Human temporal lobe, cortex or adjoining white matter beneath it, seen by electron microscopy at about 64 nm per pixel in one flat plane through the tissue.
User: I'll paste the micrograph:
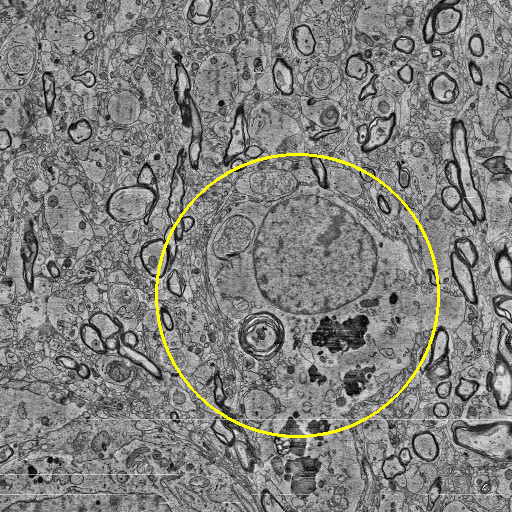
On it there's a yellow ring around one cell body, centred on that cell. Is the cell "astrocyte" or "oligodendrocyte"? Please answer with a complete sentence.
The cell ringed in yellow is an astrocyte.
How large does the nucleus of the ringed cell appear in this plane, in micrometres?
Roughly 8 micrometers across in this plane.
